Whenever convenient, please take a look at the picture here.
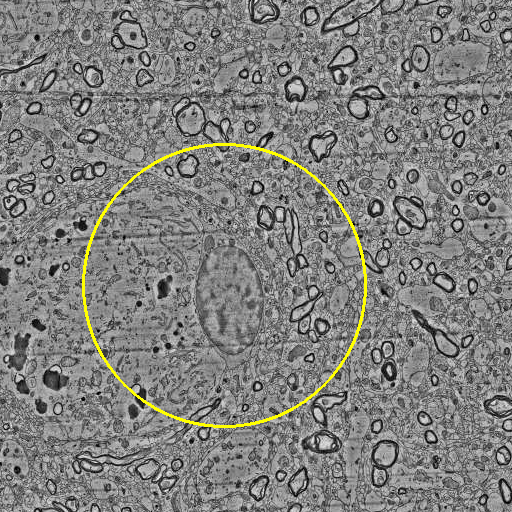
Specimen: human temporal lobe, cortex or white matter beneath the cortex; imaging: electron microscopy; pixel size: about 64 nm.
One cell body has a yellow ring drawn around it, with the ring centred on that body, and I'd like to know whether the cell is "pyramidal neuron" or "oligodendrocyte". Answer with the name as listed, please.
oligodendrocyte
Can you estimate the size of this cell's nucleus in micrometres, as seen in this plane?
In this plane, about 7 by 4 micrometres: the nucleus is clearly longer than it is wide.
